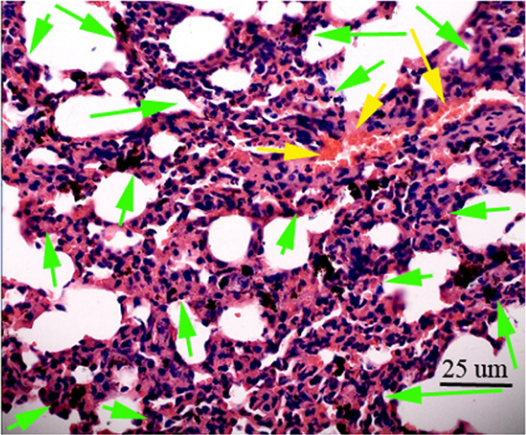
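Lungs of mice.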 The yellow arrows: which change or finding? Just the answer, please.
Bleeding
